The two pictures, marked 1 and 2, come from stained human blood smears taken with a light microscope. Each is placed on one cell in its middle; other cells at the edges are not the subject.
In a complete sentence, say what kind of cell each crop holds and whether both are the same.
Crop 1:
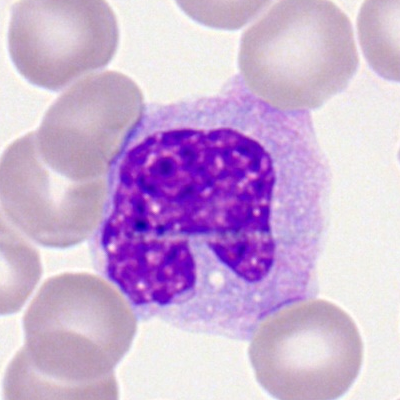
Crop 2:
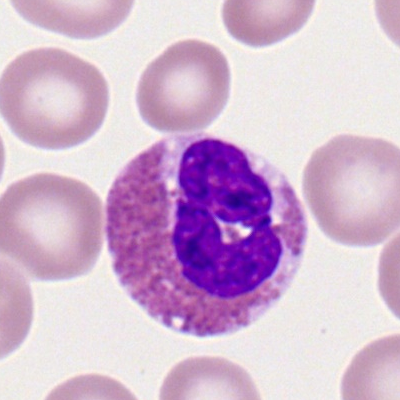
No, the cell at the middle of crop 1 is a monocyte, while crop 2 centres on an eosinophil.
